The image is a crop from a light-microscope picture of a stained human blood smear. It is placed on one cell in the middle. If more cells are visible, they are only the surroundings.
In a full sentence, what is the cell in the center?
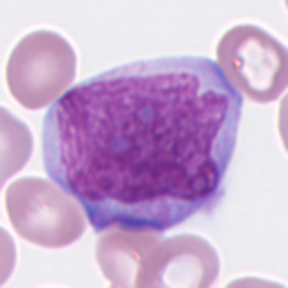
Positioned in the middle of the crop is an atypical promyelocyte.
